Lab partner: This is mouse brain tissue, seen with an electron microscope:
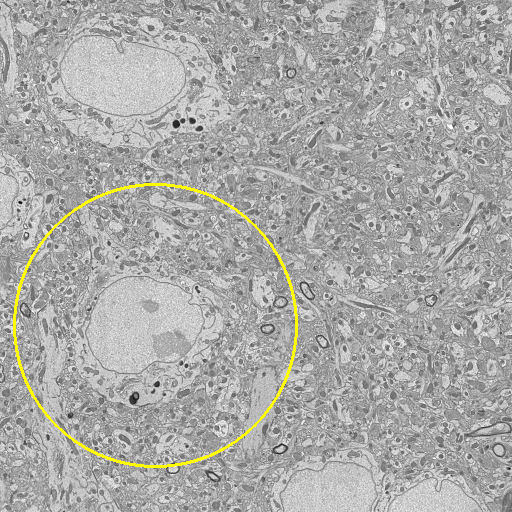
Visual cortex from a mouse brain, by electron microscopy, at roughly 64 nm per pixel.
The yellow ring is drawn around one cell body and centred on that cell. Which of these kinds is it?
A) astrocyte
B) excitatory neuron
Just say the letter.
B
